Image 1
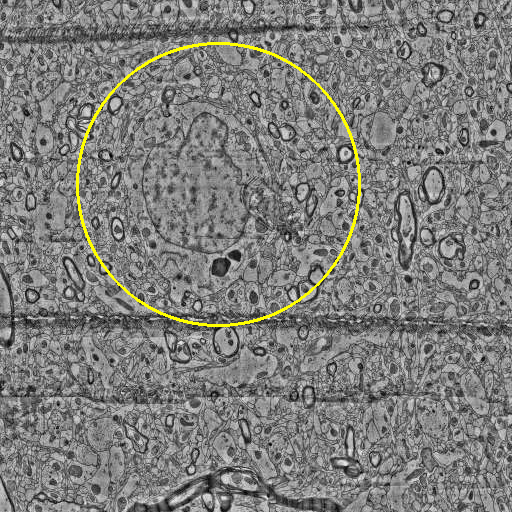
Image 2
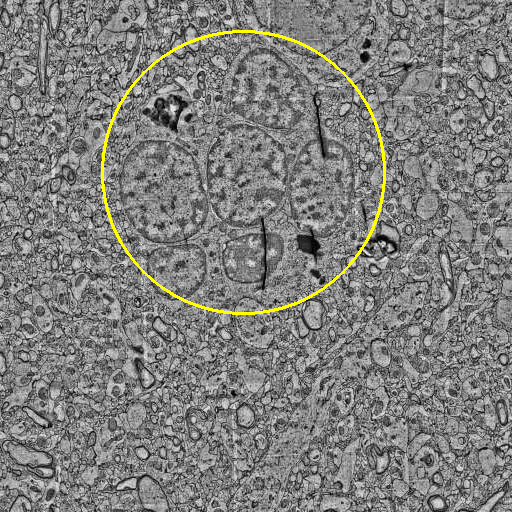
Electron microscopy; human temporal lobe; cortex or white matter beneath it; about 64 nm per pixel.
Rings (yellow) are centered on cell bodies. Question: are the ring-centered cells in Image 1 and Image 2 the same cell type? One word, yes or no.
no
